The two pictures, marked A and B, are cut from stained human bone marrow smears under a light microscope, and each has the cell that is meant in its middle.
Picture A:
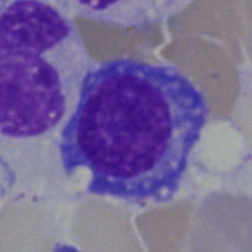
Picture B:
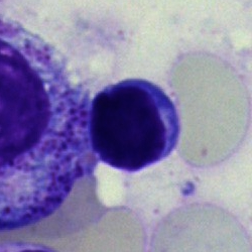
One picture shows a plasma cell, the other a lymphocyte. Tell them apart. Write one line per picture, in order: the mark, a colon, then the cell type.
A: plasma cell
B: lymphocyte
